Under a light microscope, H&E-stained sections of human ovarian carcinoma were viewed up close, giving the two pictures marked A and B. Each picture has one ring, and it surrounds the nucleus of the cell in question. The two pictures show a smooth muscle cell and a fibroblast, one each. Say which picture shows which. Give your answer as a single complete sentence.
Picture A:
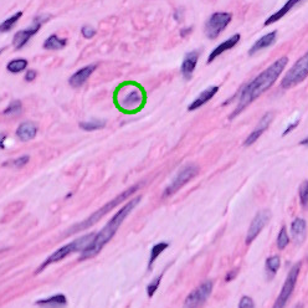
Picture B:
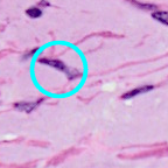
It is picture A that shows a smooth muscle cell, and picture B that shows a fibroblast.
